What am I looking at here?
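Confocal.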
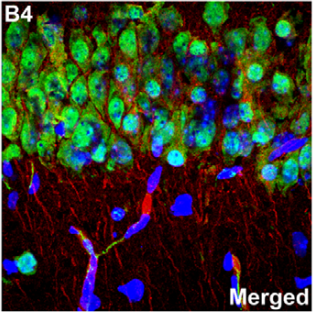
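A dense band of large, rounded hippocampal pyramidal neurons fills the upper part of the field, their somata green with blue nuclei and outlined by a red network. Below the band thin red and green processes run downwards, and elongated blue nuclei lie along slender red-stained tubular profiles.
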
